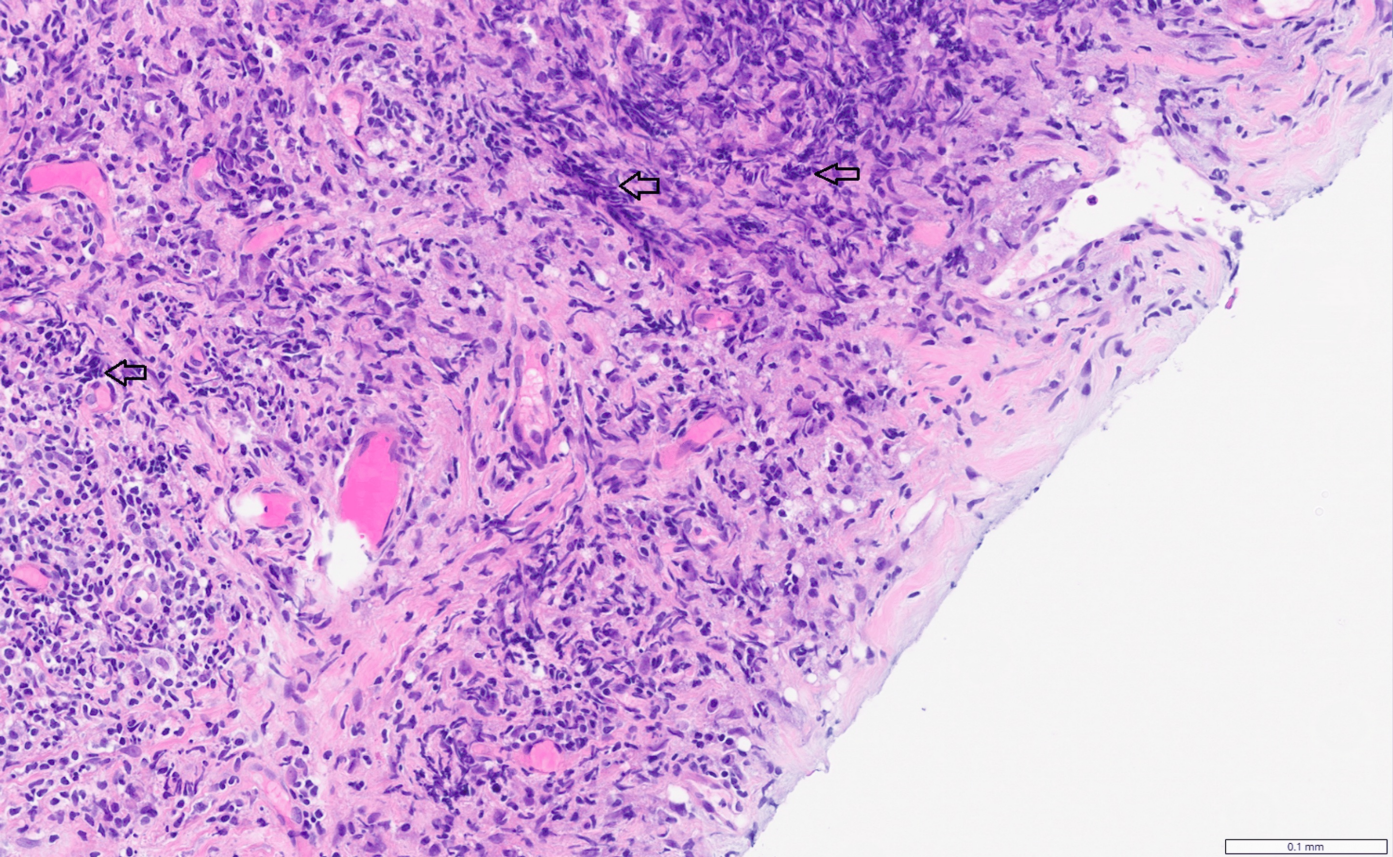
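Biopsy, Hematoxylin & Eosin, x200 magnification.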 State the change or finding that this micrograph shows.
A: Dense, fibroinflammatory process.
